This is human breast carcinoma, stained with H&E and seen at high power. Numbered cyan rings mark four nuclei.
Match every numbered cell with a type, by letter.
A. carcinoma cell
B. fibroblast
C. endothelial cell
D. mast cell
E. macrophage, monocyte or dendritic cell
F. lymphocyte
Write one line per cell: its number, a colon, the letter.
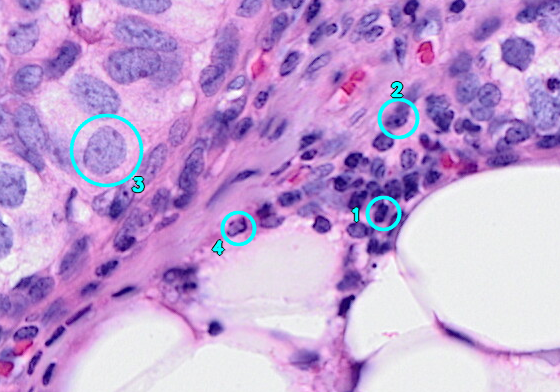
1: F
2: F
3: A
4: D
